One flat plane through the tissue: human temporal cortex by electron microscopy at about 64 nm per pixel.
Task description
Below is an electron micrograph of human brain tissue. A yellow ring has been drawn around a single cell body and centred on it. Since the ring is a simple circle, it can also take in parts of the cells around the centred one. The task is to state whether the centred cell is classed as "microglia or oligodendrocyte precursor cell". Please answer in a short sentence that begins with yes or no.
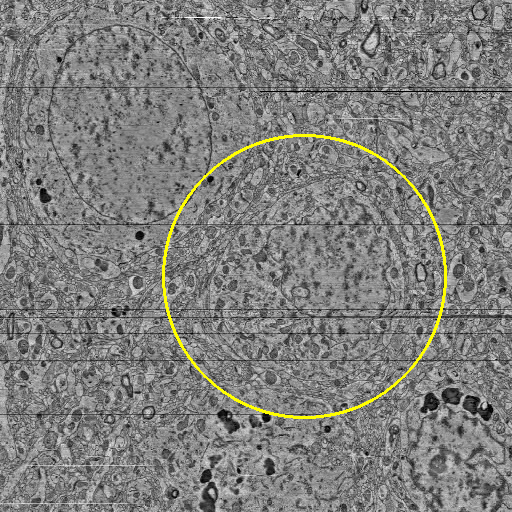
No, the centred cell is classed otherwise.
